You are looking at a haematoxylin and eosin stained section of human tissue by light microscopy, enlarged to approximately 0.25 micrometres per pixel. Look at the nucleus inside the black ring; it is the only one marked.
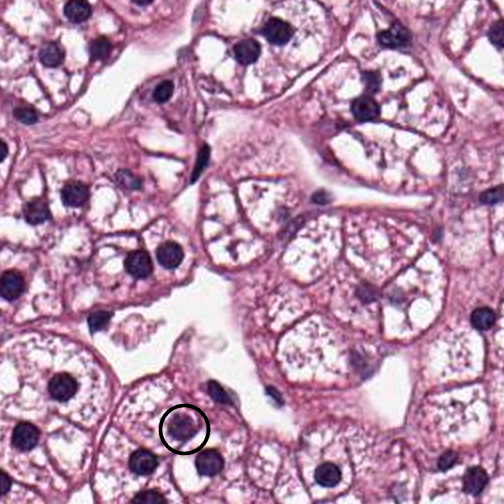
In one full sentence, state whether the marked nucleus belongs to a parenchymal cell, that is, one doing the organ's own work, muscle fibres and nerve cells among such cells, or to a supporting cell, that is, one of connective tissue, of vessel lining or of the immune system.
In the image the marked nucleus is that of an adrenal cortical cell, a parenchymal cell.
